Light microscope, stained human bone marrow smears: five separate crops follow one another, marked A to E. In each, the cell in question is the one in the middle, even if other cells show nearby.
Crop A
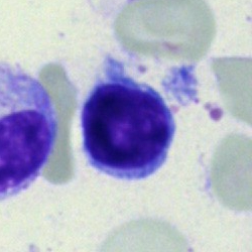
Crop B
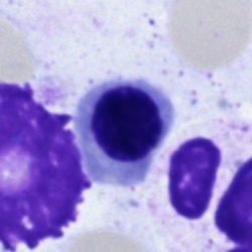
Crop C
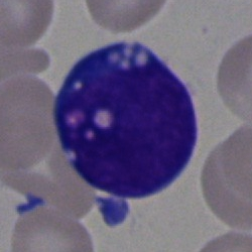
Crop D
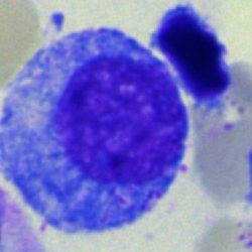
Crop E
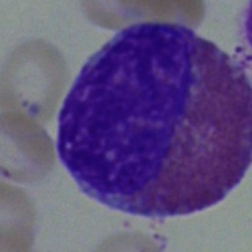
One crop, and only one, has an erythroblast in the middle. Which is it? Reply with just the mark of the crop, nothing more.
B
